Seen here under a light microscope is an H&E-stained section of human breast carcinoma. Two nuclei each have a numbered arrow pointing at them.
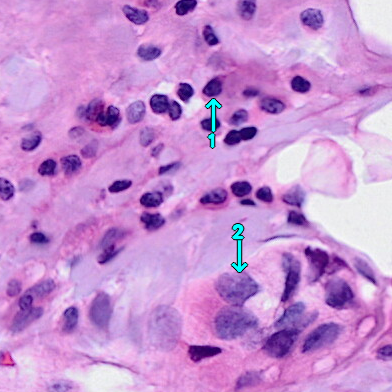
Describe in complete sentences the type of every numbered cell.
Cell 1 is a lymphocyte and cell 2 is a carcinoma cell.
